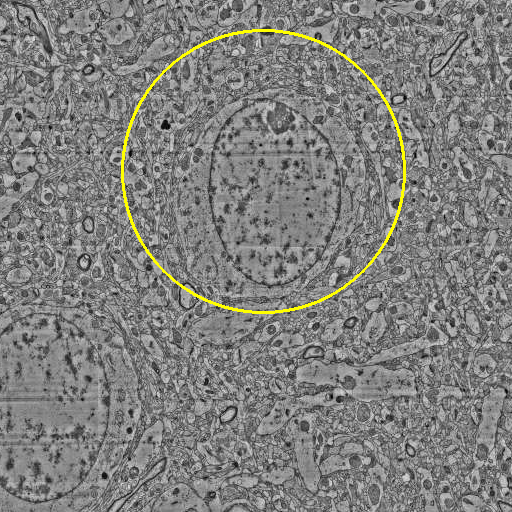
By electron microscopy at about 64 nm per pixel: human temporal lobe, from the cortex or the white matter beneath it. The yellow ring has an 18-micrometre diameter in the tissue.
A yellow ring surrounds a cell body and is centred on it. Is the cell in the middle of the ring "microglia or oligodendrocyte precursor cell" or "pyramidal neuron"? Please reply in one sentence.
The ring is centred on a pyramidal neuron.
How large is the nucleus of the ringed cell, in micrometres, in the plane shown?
The nucleus has a long axis of about 12 micrometres and a short axis of about 8 micrometres in this plane.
